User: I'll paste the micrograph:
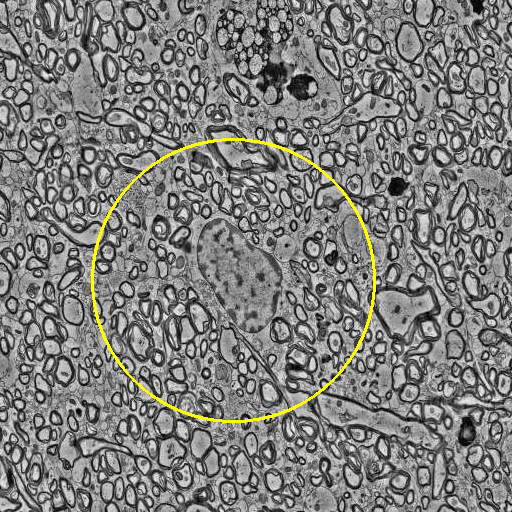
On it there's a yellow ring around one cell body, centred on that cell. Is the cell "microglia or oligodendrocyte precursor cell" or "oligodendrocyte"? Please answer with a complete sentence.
The cell ringed in yellow is a microglial cell or oligodendrocyte precursor cell.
